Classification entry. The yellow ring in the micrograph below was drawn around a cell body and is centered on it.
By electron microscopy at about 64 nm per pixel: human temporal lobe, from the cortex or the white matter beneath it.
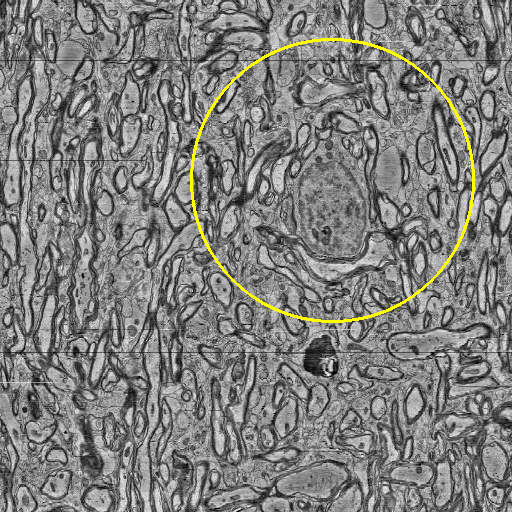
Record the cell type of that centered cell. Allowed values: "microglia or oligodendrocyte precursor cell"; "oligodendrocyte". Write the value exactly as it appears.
oligodendrocyte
